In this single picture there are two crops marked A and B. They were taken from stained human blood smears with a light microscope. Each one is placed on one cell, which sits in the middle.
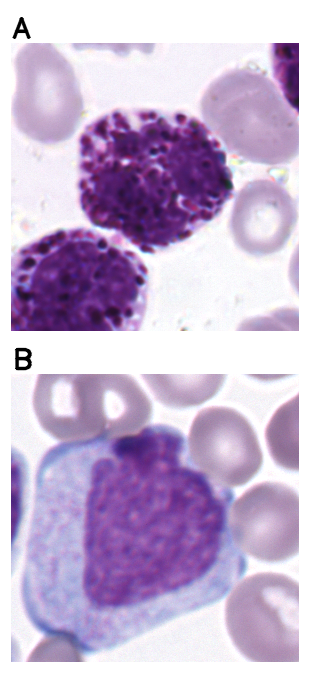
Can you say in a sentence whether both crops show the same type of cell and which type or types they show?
No, the cell centred in crop A is a basophil, and that centred in crop B is a promyelocyte.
